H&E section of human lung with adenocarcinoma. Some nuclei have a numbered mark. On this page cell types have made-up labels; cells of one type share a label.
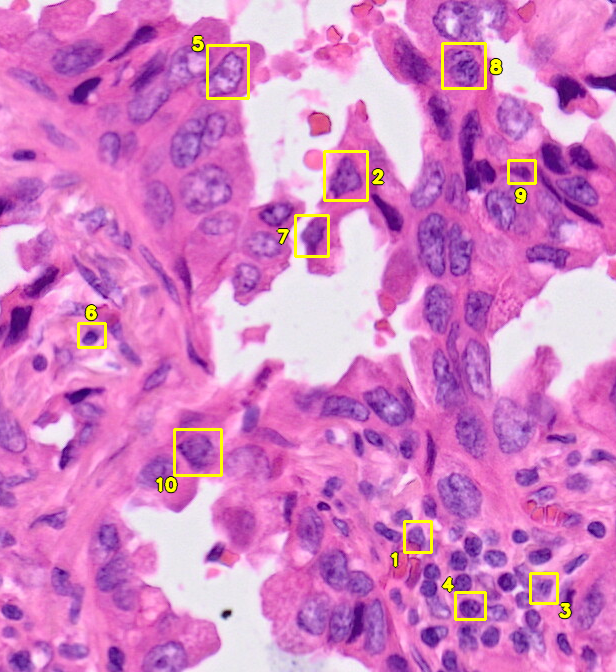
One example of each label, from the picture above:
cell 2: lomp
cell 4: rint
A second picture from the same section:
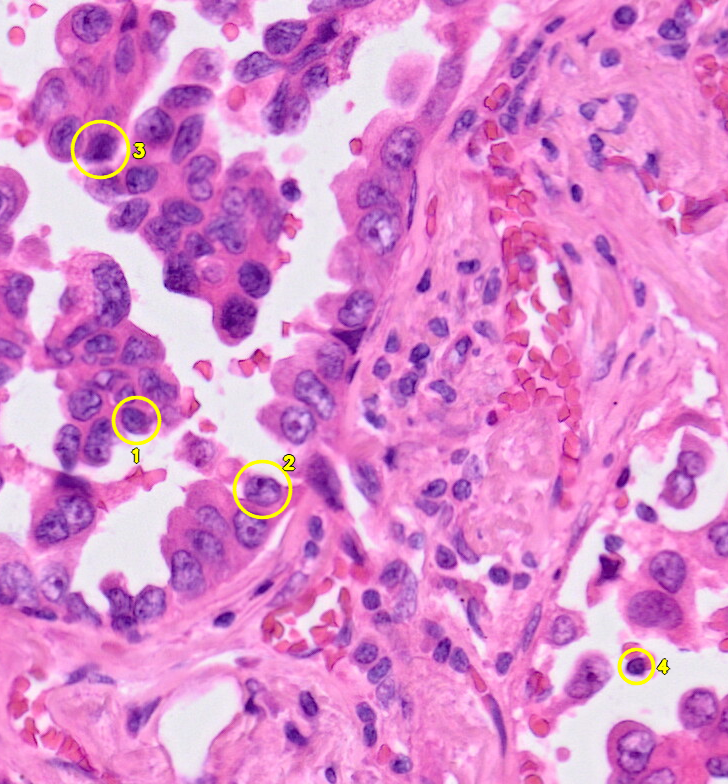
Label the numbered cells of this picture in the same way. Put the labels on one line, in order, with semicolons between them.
lomp; lomp; lomp; rint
